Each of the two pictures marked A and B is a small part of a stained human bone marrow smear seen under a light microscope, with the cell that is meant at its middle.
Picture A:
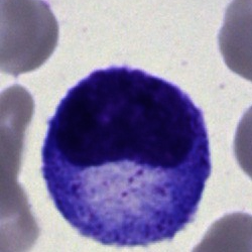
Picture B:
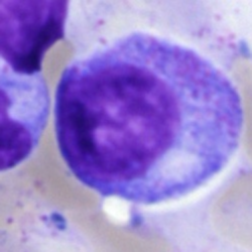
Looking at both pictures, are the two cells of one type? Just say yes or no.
yes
